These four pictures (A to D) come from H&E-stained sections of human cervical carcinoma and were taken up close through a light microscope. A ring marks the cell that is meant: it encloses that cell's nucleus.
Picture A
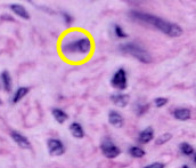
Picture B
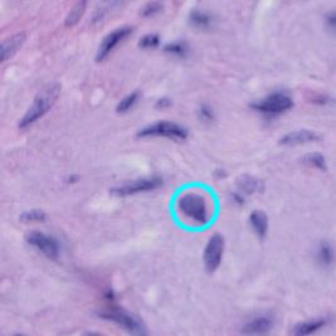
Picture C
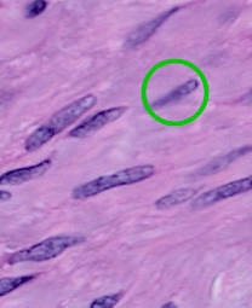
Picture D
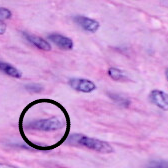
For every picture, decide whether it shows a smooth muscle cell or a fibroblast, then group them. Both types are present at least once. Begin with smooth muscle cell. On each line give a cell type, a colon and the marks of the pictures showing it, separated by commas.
smooth muscle cell: A, D
fibroblast: B, C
